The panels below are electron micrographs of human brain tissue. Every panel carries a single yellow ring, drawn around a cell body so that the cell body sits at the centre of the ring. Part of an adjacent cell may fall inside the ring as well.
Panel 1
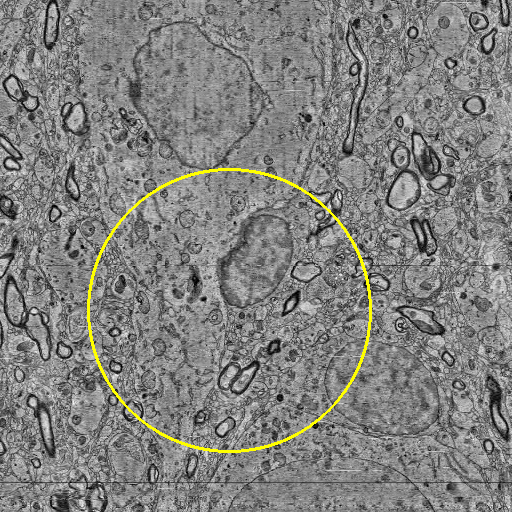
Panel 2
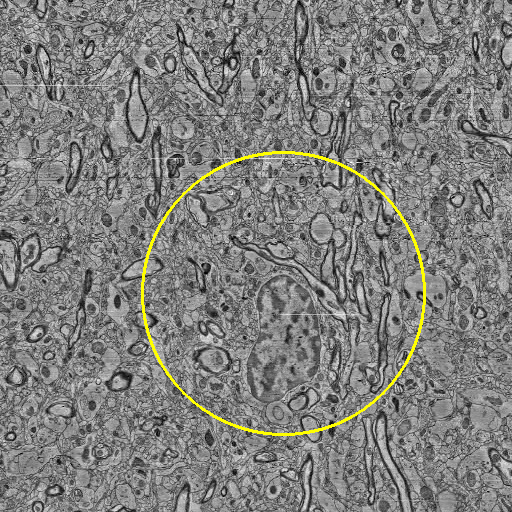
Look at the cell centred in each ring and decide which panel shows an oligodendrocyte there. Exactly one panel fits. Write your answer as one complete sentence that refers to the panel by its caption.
Panel 1 has it at the centre of its ring.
